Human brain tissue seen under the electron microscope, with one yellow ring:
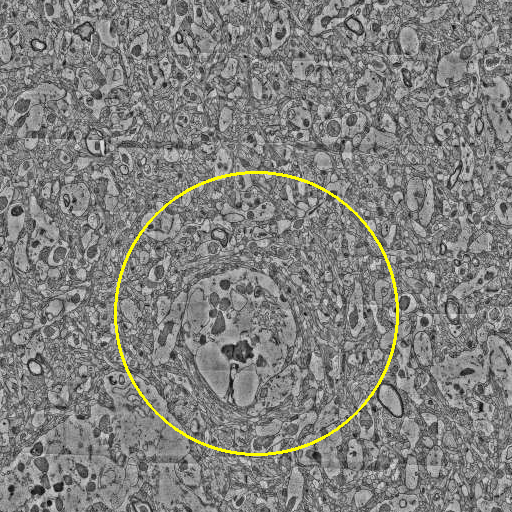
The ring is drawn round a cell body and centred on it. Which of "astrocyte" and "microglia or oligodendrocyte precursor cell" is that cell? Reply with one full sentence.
The picture shows an astrocyte at the very centre of the yellow ring.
